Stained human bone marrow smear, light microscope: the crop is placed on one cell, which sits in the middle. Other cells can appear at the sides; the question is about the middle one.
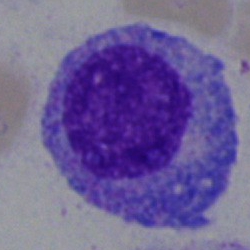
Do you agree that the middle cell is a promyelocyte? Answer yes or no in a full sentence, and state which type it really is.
Yes, a promyelocyte occupies the middle of the crop.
